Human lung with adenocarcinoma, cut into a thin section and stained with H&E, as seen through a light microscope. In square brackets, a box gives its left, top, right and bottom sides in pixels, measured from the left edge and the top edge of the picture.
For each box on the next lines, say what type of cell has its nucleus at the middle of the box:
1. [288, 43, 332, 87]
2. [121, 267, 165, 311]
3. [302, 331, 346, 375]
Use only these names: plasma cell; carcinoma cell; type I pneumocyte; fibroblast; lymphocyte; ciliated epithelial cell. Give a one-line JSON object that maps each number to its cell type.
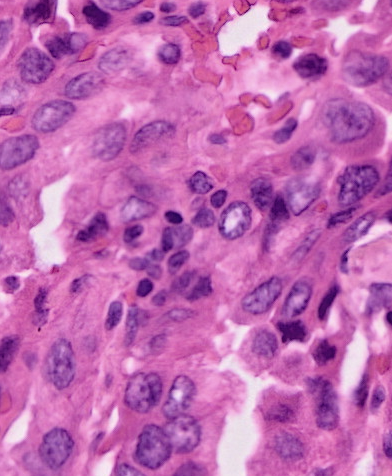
{"1": "carcinoma cell", "2": "lymphocyte", "3": "carcinoma cell"}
